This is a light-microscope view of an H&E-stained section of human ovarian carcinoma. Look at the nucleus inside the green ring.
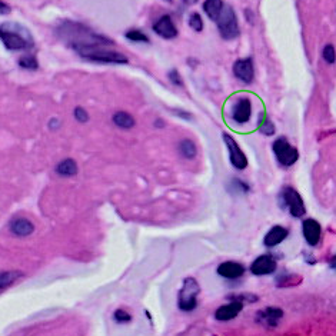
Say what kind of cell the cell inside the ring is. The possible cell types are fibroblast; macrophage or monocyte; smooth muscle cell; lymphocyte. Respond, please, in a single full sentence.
In cellular terms, the cell inside the ring is a lymphocyte.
